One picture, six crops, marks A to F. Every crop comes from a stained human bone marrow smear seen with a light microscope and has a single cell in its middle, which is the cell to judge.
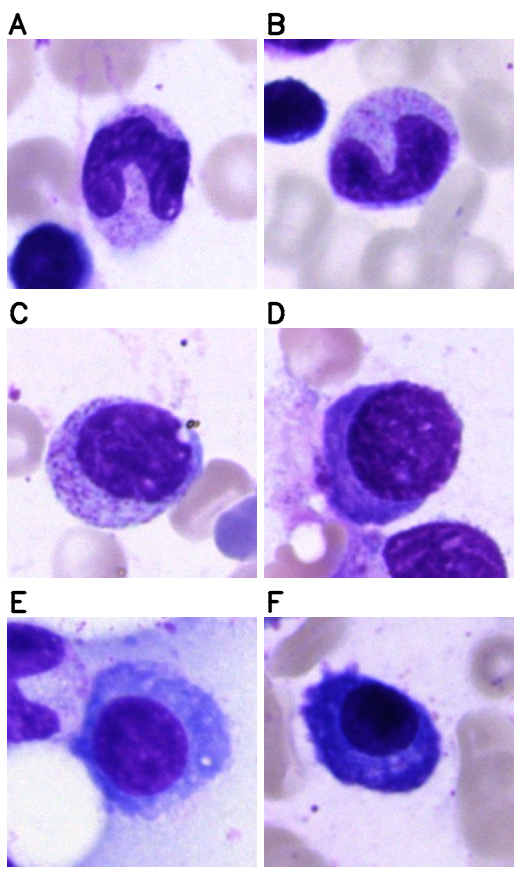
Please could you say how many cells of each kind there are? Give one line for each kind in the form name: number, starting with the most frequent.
plasma cell: 3
band neutrophil: 2
myelocyte: 1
